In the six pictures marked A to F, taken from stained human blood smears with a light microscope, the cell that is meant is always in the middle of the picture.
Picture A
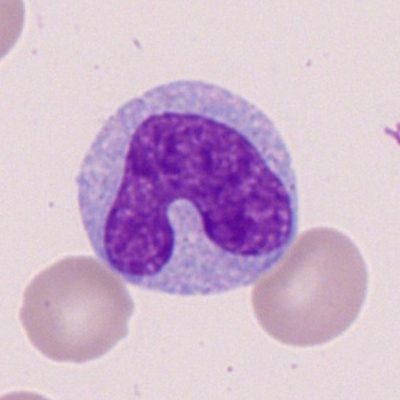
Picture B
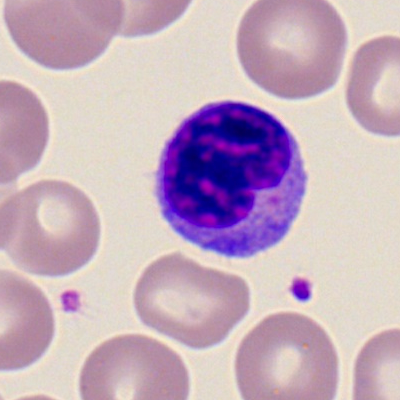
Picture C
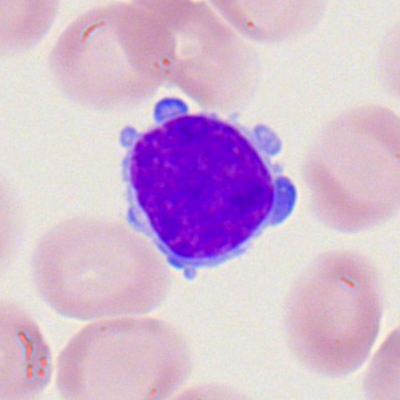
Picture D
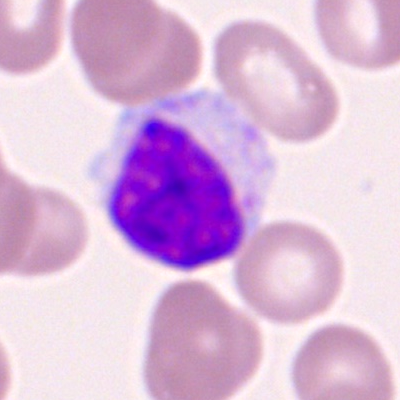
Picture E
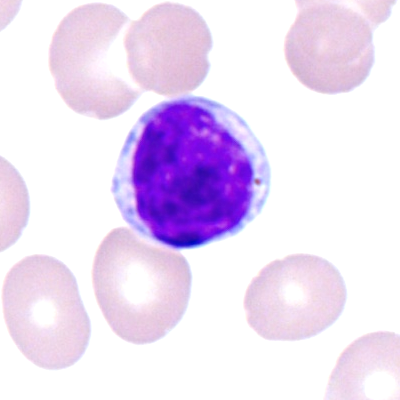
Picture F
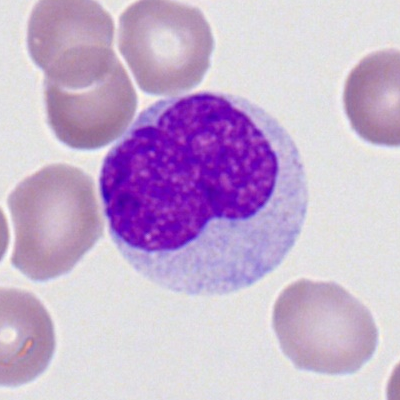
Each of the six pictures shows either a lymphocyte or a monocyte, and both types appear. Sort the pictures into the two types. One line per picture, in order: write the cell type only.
monocyte
lymphocyte
lymphocyte
lymphocyte
lymphocyte
monocyte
